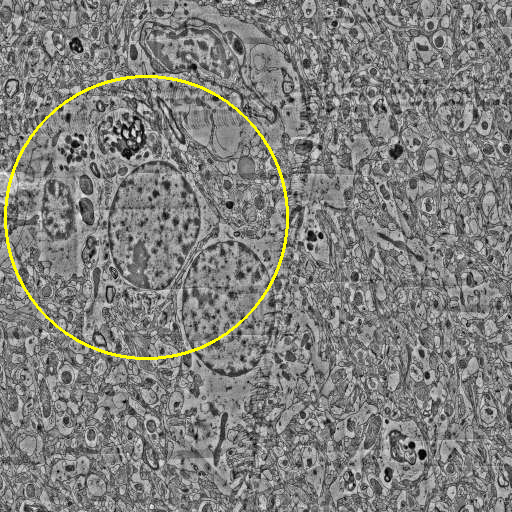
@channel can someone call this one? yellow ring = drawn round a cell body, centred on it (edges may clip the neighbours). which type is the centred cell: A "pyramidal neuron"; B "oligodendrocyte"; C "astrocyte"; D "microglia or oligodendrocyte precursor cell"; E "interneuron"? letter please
C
